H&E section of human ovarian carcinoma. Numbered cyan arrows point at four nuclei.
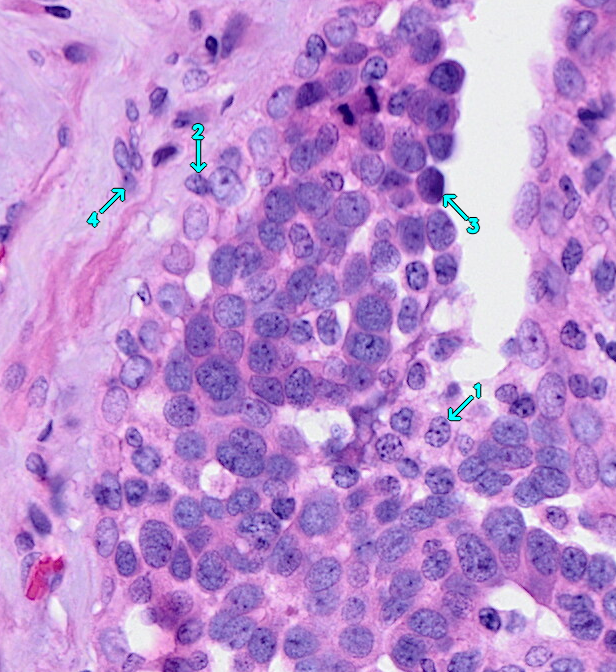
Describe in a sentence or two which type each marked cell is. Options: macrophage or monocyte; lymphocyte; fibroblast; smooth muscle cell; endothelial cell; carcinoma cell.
Cell 1 is a macrophage or monocyte, cell 2 is a macrophage or monocyte, cell 3 is a carcinoma cell and cell 4 is an endothelial cell.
